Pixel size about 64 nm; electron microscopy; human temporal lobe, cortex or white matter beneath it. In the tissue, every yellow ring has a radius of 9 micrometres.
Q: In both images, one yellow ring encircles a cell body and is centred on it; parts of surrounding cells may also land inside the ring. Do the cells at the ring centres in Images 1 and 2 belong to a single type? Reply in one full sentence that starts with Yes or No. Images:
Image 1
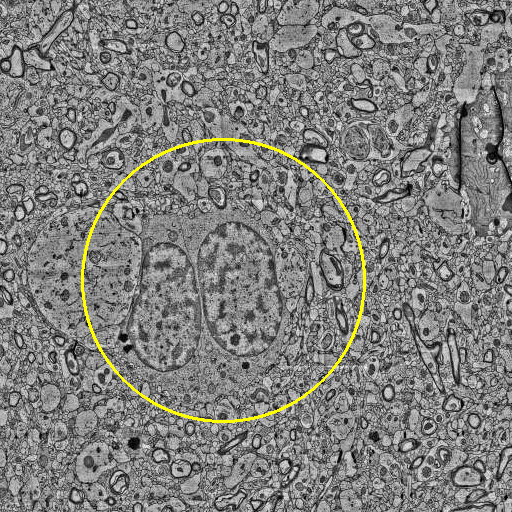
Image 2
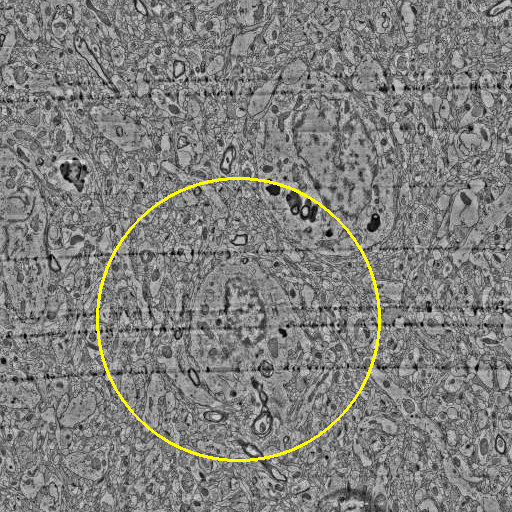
No, the cells at the ring centres in Images 1 and 2 are of two types.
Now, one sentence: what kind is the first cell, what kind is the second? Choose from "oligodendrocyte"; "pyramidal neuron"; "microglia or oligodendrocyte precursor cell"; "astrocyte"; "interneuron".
The first picture has an oligodendrocyte at its ring centre, and the second has an astrocyte.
